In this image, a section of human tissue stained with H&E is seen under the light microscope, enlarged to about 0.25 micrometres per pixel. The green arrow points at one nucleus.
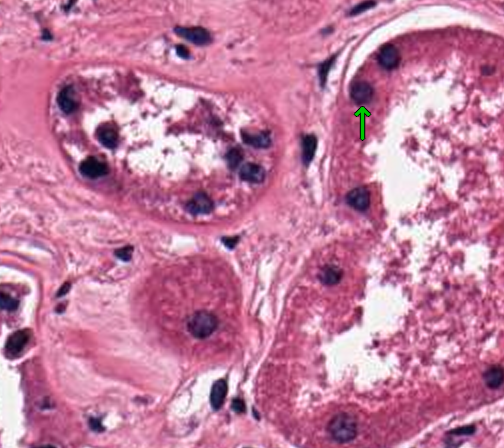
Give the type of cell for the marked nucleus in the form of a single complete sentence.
In this image, the nucleus that is marked belongs to a proximal tubule cell.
